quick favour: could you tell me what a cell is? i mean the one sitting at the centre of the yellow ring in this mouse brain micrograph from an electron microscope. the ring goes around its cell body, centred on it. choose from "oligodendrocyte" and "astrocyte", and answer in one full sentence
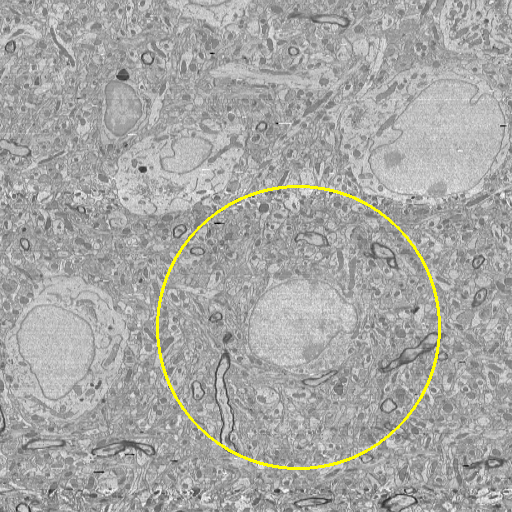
That's an astrocyte, the cell sitting at the centre of the yellow ring.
